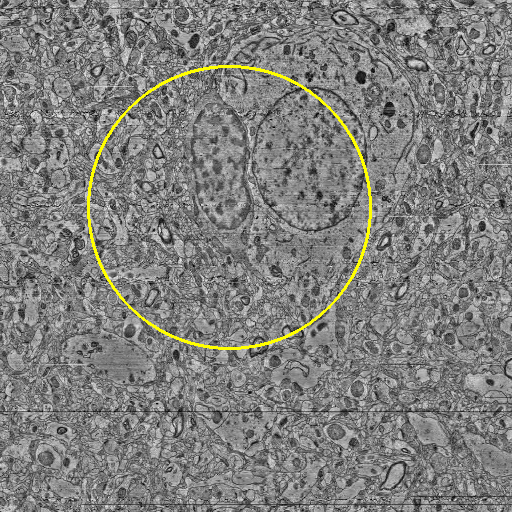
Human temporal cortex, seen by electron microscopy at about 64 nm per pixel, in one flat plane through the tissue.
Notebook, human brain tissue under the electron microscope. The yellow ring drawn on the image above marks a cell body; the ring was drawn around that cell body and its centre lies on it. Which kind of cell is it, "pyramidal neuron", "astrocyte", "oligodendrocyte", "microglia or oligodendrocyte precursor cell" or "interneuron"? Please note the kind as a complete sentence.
The marked cell body is that of an oligodendrocyte.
